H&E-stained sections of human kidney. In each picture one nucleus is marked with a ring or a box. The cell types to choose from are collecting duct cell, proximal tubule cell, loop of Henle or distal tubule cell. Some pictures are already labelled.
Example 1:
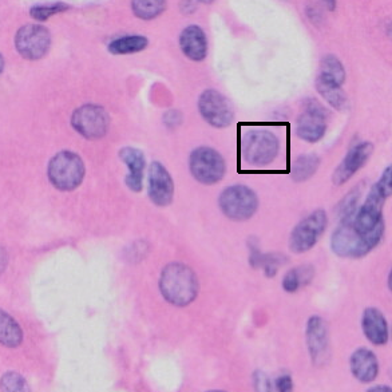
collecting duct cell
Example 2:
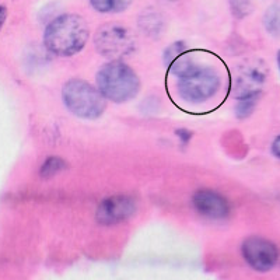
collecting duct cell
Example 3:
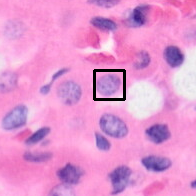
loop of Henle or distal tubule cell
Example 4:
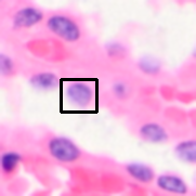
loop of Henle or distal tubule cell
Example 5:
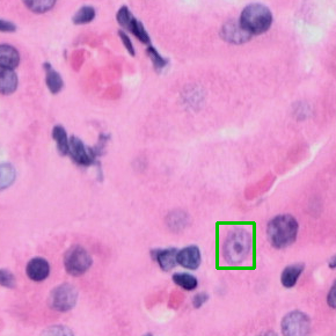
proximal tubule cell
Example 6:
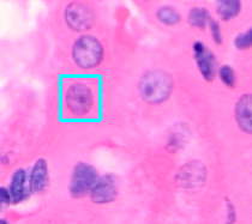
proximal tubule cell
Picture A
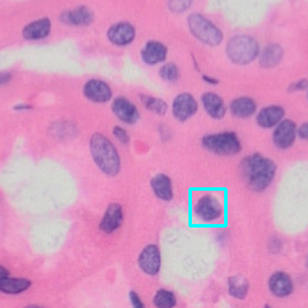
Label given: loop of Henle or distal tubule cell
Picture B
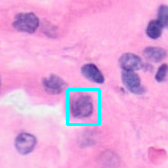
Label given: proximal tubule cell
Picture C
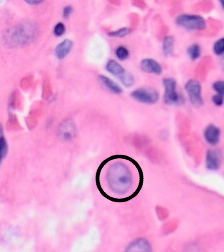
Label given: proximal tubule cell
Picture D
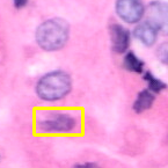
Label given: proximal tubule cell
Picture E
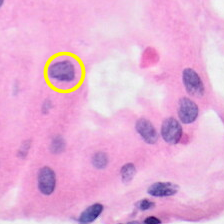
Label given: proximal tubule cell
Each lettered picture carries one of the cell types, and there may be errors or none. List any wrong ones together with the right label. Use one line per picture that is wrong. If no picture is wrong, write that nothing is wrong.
B should be loop of Henle or distal tubule cell, not proximal tubule cell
